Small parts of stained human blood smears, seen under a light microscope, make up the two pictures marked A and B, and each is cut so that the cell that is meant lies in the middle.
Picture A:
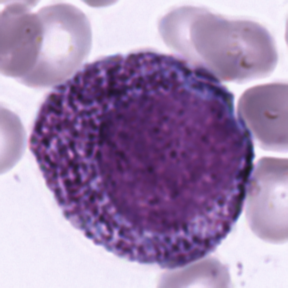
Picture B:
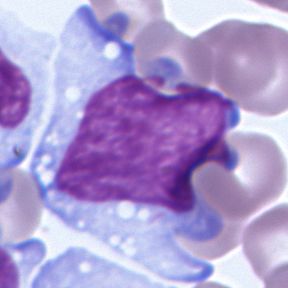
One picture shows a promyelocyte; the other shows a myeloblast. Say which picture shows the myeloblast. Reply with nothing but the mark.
B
